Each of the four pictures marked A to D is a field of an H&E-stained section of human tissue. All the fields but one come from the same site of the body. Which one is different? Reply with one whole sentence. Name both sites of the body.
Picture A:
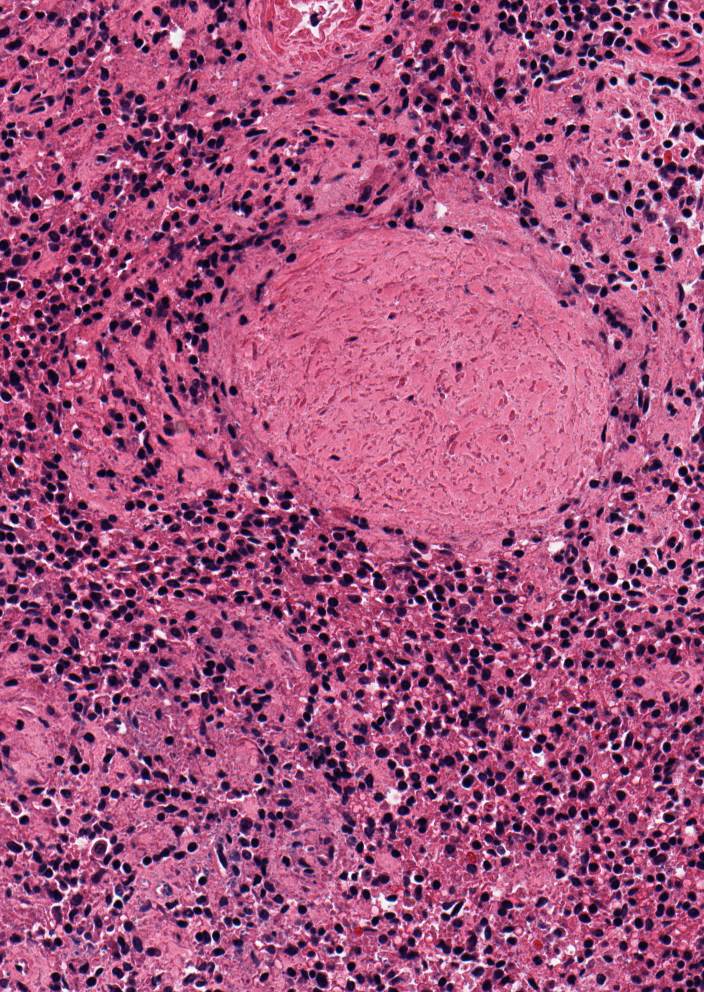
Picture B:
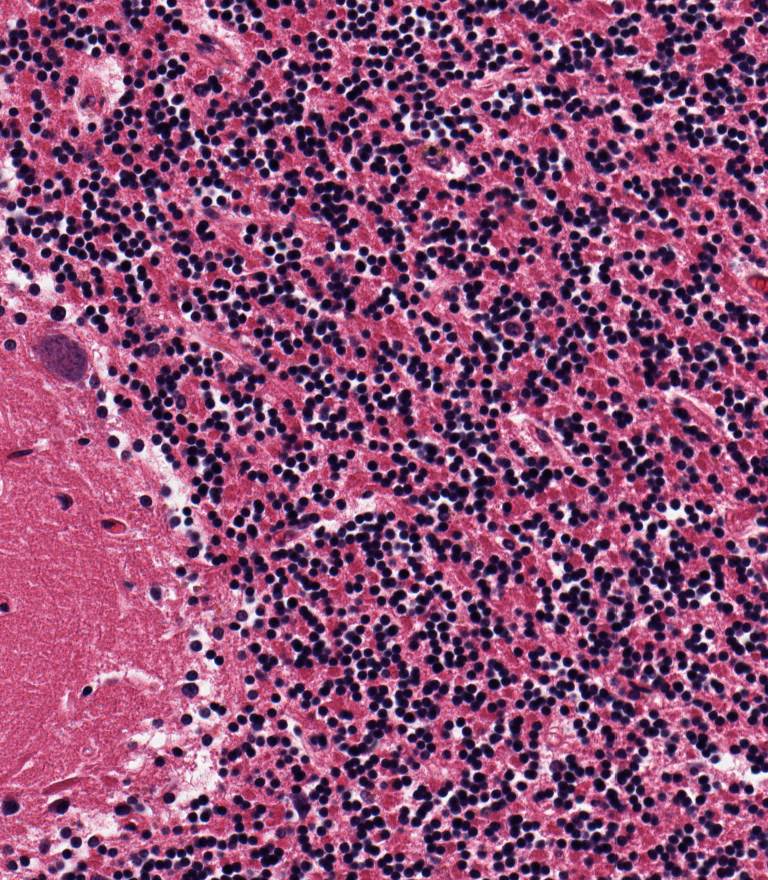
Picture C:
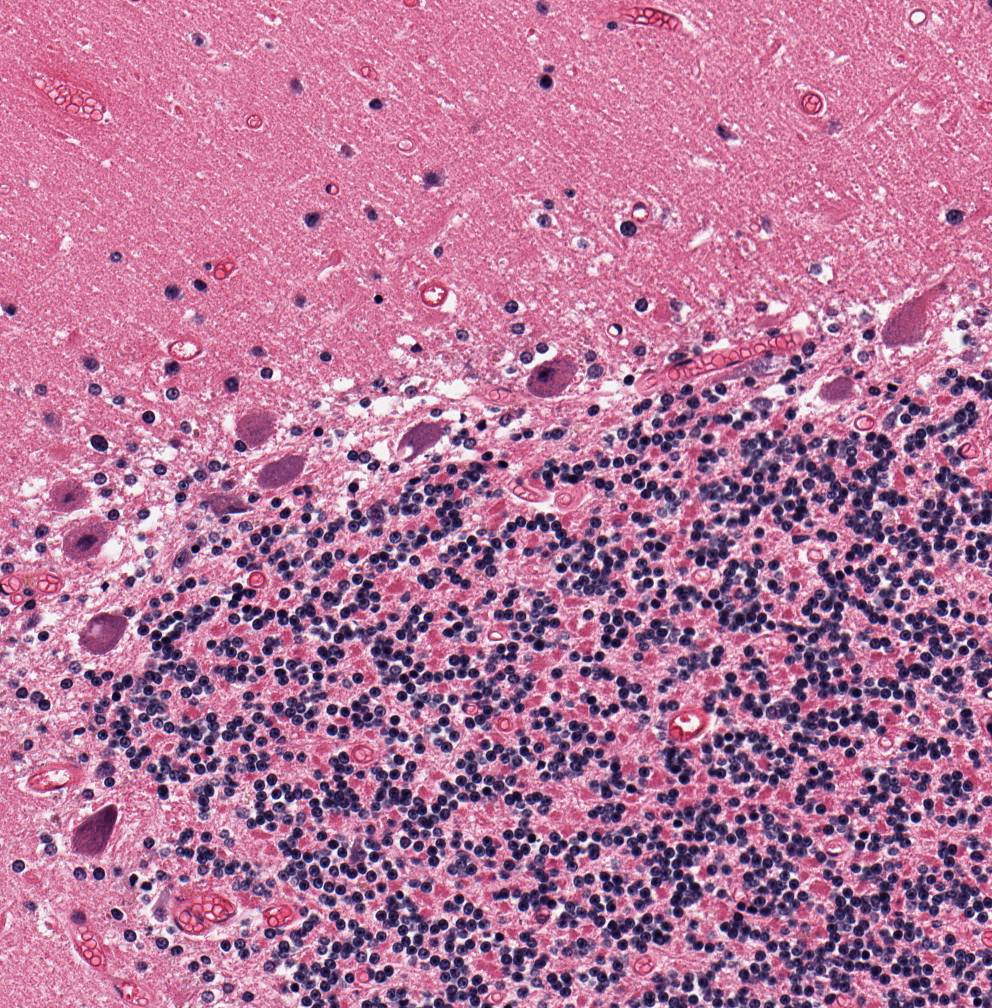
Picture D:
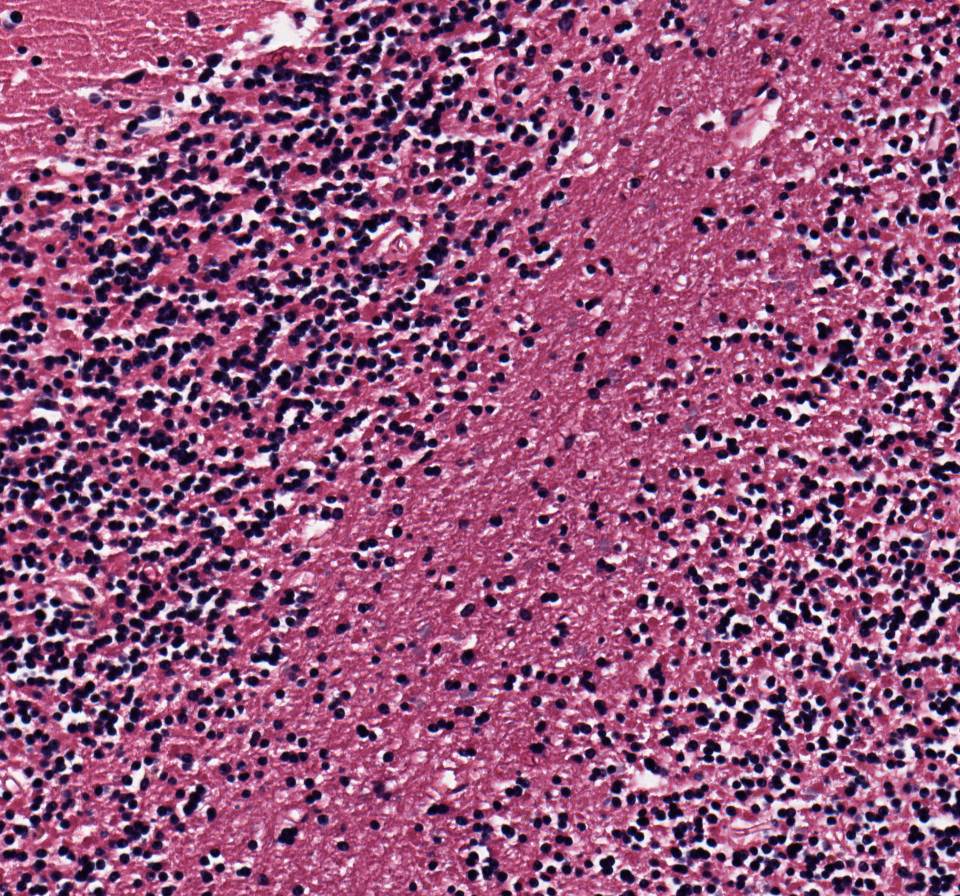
All pictures except A come from the cerebellum; picture A comes from the spleen.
